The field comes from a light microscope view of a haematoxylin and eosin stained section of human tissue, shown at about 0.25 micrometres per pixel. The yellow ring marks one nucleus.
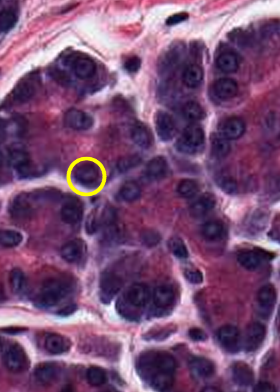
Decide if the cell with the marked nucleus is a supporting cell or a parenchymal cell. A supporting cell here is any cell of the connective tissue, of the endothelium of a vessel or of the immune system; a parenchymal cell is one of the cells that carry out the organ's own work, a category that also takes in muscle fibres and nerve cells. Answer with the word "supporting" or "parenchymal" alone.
parenchymal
